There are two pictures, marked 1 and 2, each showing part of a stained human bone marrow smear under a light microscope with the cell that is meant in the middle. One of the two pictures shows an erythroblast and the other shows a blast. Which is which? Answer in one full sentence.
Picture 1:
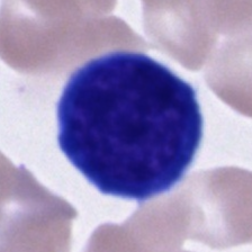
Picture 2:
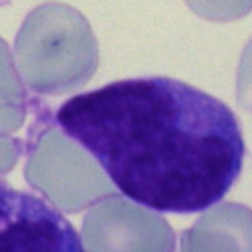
Picture 1 shows an erythroblast and picture 2 shows a blast.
